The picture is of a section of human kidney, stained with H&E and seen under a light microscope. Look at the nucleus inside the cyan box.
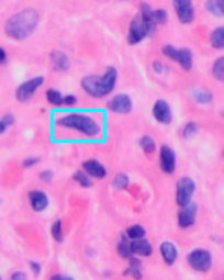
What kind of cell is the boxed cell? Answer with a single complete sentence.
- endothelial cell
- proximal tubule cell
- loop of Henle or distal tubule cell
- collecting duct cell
Just put down that the boxed cell is an endothelial cell.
